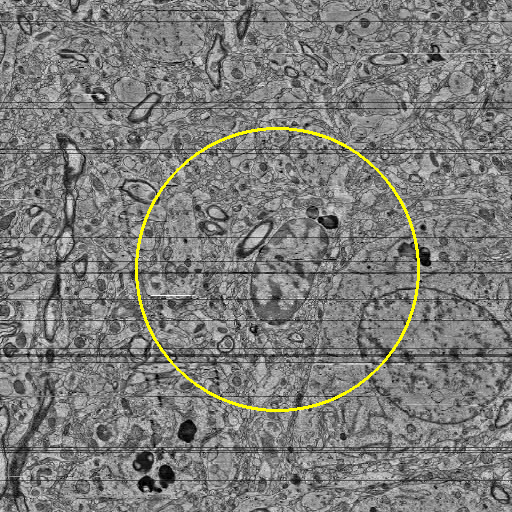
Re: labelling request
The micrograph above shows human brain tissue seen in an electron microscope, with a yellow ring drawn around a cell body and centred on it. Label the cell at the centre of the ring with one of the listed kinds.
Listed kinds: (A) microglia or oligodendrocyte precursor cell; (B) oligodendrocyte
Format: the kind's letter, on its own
A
